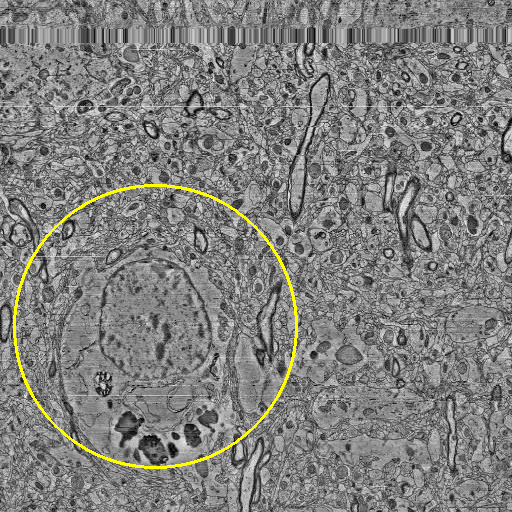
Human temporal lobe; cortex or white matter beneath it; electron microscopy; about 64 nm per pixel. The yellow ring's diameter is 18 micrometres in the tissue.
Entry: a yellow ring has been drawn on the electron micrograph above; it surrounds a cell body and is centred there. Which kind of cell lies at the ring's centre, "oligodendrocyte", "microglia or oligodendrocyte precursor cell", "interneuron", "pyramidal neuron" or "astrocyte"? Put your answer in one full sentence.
The cell sitting at the ring's centre is an astrocyte in the micrograph above.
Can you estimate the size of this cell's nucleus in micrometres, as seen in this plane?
In this plane the nucleus spans approximately 8 by 7 micrometers.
